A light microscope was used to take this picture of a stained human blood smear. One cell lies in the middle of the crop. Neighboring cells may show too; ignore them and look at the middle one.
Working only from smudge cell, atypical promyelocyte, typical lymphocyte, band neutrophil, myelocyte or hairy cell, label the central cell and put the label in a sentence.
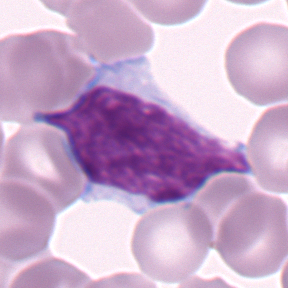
The cell under consideration, at the middle of the crop, is a typical lymphocyte.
